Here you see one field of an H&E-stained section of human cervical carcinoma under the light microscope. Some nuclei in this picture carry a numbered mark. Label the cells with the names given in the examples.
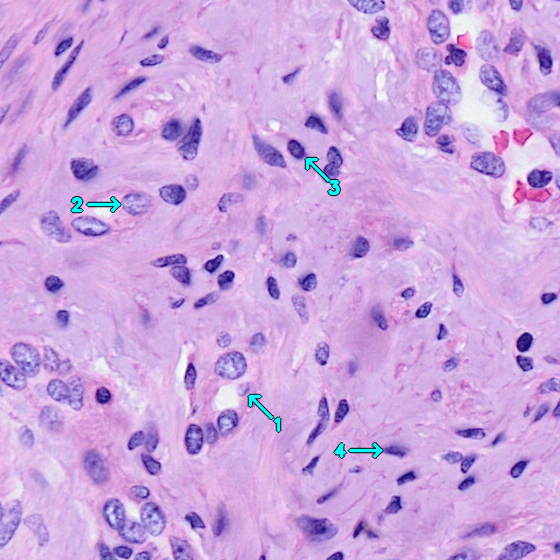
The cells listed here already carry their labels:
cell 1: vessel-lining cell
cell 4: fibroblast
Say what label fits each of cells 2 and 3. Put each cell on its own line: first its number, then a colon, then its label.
2: vessel-lining cell
3: fibroblast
